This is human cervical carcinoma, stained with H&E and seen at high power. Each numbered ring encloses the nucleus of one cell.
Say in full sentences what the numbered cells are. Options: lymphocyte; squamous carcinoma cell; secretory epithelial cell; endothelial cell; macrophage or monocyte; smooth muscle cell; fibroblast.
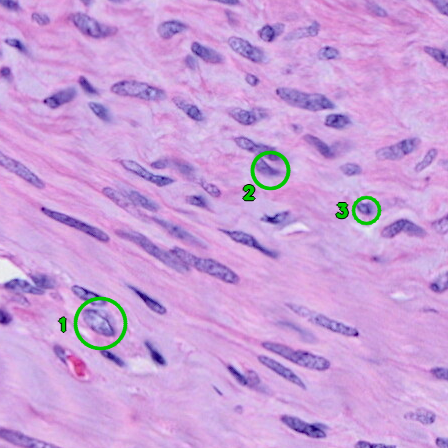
Cell 1 is an endothelial cell, cell 2 is a smooth muscle cell and cell 3 is a smooth muscle cell.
